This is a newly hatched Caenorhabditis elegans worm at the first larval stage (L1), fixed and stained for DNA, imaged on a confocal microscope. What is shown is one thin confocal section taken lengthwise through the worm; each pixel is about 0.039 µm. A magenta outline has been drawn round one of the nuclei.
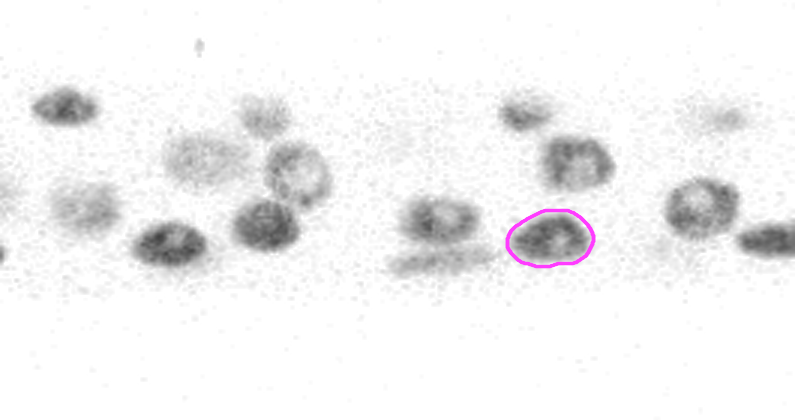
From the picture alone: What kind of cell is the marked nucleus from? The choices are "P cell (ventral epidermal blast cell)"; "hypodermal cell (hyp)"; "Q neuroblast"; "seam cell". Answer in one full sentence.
The cell with the marked nucleus is a P cell (ventral epidermal blast cell).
